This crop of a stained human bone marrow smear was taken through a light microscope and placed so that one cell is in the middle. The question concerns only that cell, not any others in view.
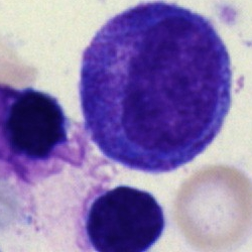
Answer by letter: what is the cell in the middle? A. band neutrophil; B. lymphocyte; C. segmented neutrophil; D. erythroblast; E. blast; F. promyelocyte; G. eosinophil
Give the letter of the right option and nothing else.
F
